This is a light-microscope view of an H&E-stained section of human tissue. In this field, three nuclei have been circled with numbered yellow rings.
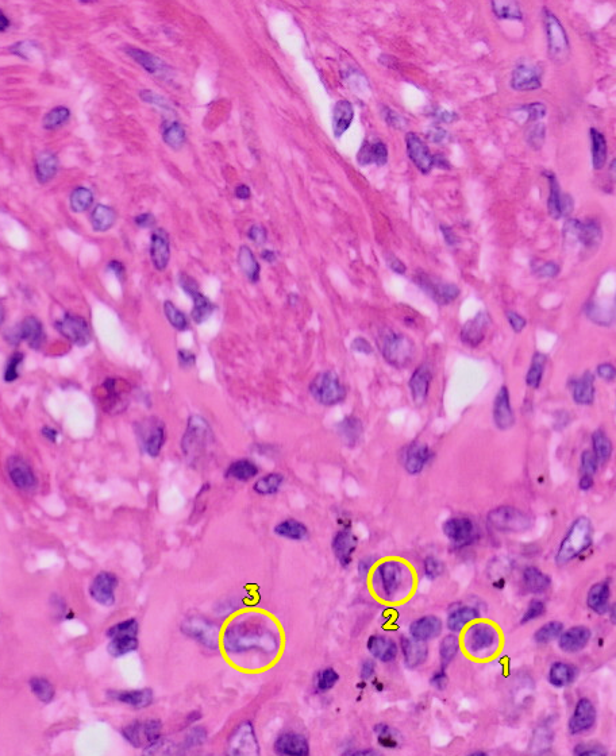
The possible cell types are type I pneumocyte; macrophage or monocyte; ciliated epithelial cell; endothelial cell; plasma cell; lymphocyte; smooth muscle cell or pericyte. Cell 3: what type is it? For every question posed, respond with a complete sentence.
The nucleus marked 3 is the nucleus of an endothelial cell.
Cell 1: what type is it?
The cell indicated by marker 1 is a lymphocyte in this section.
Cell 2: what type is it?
The cell assigned the number 2 is a plasma cell.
